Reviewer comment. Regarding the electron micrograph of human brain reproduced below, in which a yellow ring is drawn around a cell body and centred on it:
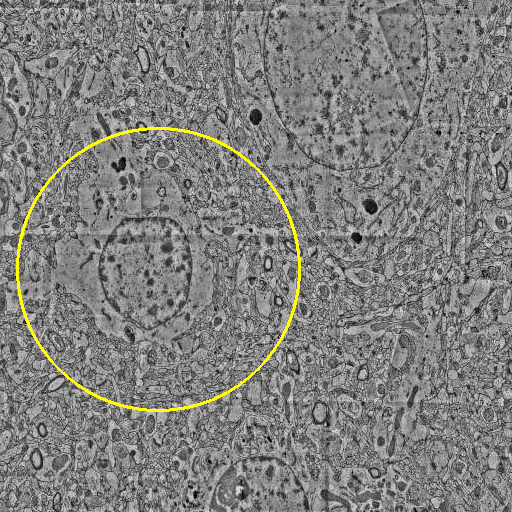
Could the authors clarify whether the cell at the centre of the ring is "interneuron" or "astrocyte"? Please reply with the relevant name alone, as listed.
astrocyte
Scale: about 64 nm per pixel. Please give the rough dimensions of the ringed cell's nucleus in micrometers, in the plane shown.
The ringed cell's nucleus is about 7 micrometres long and 6 micrometres wide in this plane.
